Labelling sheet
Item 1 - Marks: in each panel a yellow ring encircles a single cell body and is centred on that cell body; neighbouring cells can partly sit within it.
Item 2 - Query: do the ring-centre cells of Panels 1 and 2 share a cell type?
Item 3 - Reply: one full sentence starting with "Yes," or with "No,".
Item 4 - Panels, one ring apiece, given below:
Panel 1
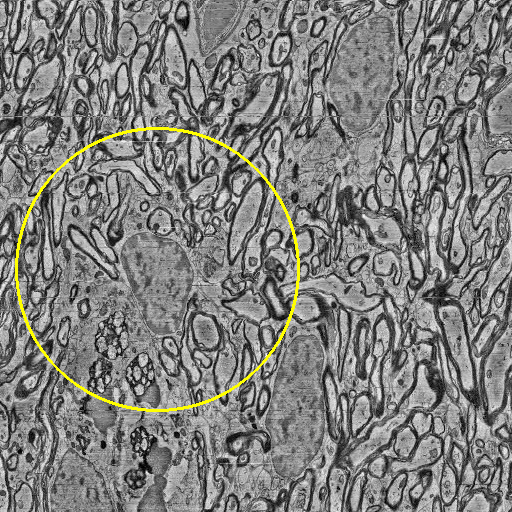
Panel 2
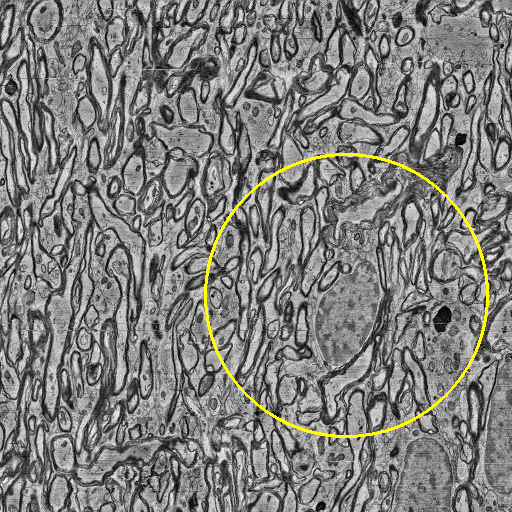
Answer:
Yes, Panel 1 and Panel 2 show one cell type at the centres of their rings.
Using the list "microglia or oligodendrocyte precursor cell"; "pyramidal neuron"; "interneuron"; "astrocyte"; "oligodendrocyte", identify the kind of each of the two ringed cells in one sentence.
Each cell, in the first picture and the second, is a microglial cell or oligodendrocyte precursor cell.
